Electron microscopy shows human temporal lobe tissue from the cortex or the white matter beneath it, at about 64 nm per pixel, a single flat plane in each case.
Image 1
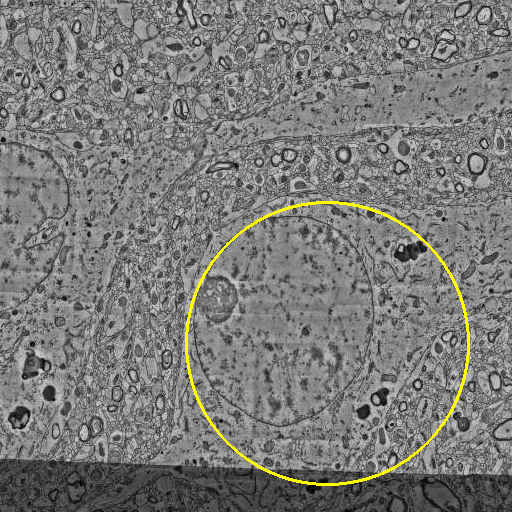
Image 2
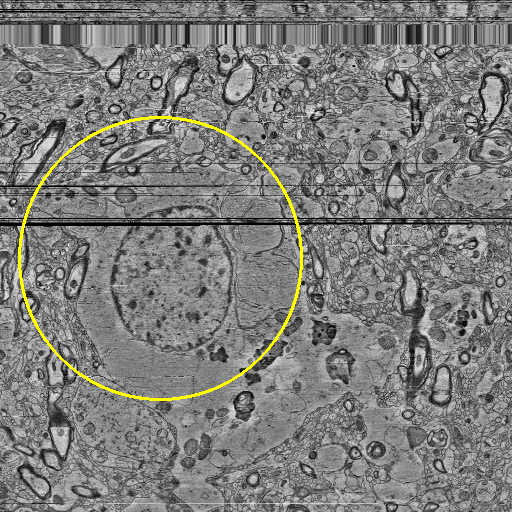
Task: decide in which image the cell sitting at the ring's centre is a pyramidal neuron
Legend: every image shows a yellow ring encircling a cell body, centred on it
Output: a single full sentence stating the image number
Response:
In image 1, the cell at the middle of the ring is the match.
